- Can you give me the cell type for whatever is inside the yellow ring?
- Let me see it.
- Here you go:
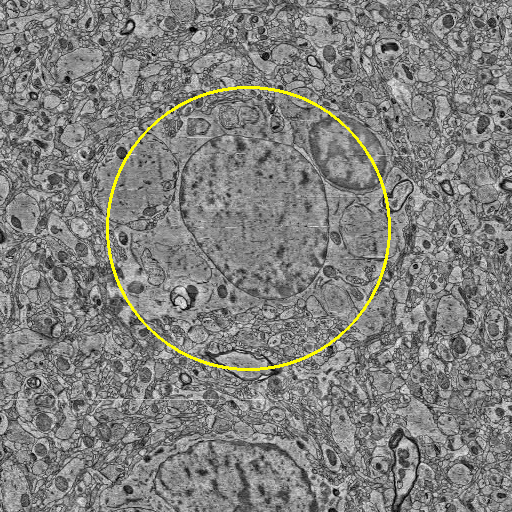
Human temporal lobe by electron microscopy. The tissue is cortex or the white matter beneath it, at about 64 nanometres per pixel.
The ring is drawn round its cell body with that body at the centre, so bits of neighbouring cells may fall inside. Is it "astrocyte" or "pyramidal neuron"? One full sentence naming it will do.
The cell body in the middle of the ring in this picture belongs to an astrocyte.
